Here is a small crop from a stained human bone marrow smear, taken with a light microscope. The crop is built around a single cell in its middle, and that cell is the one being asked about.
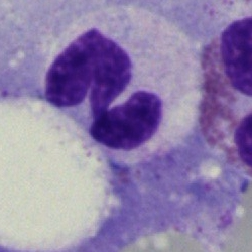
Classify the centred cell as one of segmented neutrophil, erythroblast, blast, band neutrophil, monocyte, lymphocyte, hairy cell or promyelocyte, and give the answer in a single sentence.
The central cell shown in this smear crop is a segmented neutrophil.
